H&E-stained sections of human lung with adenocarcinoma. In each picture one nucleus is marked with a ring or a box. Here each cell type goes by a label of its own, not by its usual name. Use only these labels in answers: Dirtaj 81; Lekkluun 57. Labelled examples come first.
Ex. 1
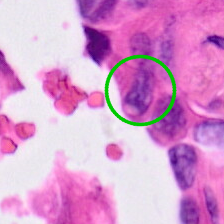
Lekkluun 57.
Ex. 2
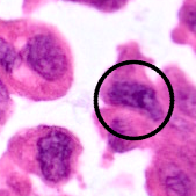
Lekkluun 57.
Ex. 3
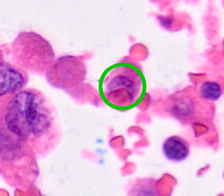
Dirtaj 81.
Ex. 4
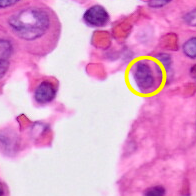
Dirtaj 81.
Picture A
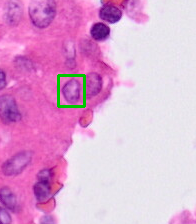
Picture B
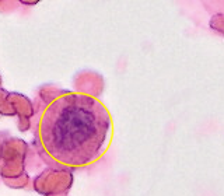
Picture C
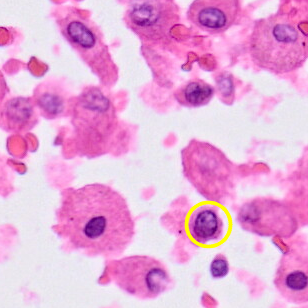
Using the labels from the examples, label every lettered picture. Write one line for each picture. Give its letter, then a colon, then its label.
A: Dirtaj 81.
B: Dirtaj 81.
C: Dirtaj 81.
